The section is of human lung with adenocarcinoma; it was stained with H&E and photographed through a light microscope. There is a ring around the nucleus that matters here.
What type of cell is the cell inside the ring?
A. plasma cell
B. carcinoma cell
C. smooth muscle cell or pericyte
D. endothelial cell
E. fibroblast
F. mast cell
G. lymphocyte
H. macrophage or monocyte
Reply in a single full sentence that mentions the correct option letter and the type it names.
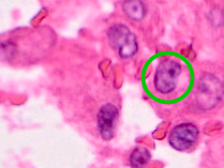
Option H matches the cell inside the ring, which is a macrophage or monocyte.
